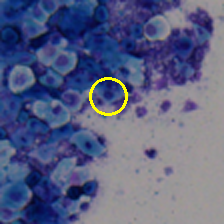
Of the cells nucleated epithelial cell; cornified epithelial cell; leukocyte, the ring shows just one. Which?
The ring shows a nucleated epithelial cell.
